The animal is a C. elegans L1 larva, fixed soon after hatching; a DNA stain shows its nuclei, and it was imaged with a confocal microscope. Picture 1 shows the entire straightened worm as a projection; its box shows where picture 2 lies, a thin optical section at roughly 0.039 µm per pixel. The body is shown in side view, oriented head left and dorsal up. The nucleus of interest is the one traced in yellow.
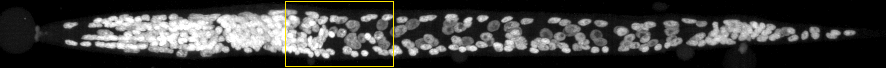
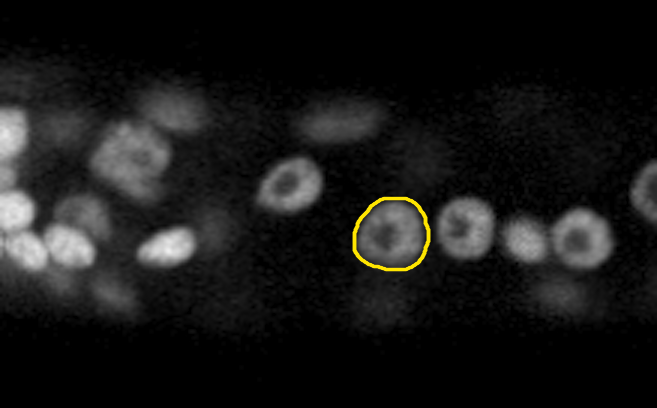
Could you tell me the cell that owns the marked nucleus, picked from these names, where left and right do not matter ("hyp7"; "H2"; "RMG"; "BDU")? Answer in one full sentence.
It is the nucleus of hyp7, a hypodermal cell (hyp).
